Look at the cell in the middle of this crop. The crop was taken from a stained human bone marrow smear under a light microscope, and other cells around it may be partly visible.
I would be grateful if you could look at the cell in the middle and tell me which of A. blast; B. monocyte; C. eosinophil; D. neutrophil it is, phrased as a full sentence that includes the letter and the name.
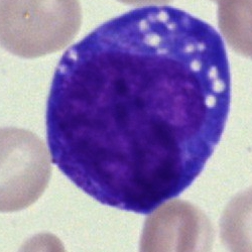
The middle of the crop contains a blast, so option A is right.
